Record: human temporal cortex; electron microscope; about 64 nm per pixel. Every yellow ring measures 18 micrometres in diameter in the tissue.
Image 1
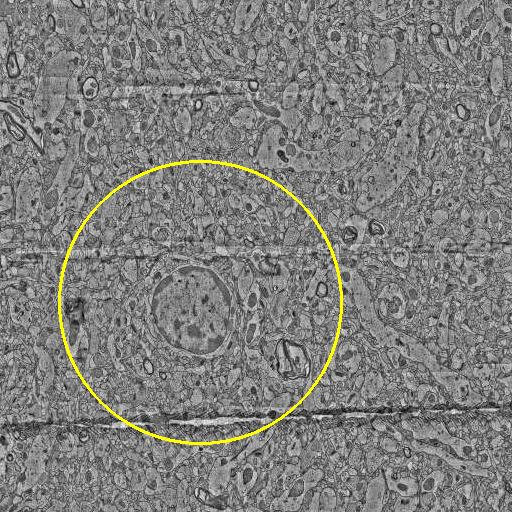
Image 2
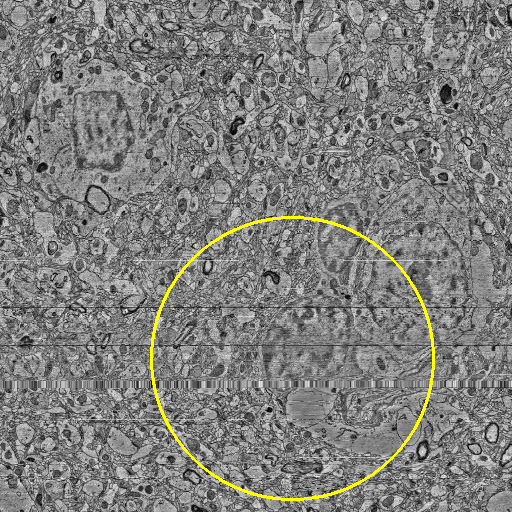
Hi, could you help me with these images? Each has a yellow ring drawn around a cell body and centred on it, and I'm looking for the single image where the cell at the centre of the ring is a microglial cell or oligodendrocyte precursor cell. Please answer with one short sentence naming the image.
It is Image 1 that has it at the centre of its ring.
